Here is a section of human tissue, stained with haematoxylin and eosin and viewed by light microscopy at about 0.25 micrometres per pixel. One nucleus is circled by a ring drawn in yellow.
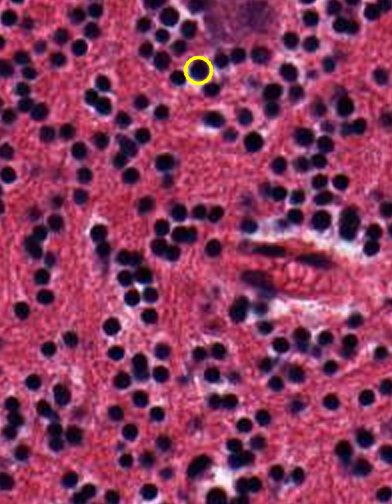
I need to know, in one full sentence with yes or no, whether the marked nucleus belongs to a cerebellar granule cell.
Yes, a cerebellar granule cell is the cell to which the marked nucleus belongs.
